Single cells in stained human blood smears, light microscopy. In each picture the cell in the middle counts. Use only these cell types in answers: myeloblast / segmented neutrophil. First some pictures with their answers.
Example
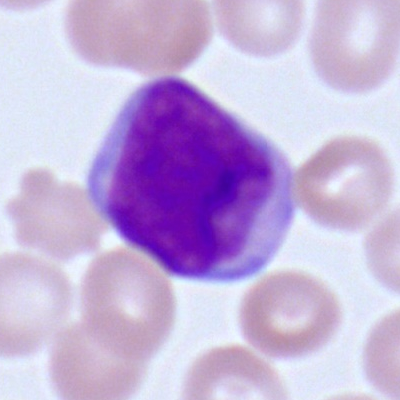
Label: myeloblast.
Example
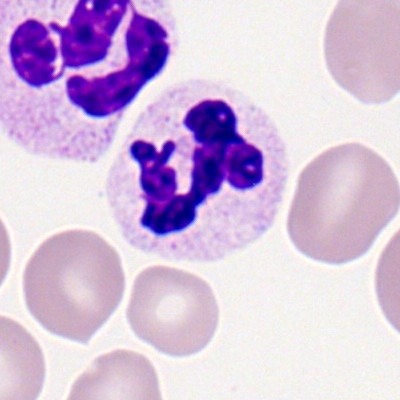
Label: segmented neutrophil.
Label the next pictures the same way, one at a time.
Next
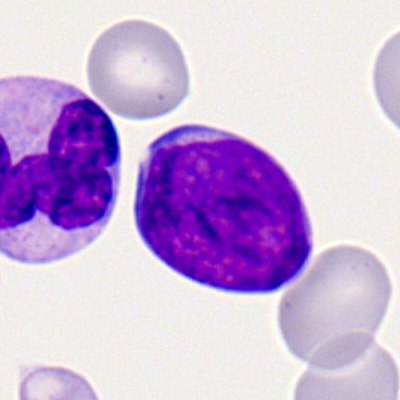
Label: myeloblast.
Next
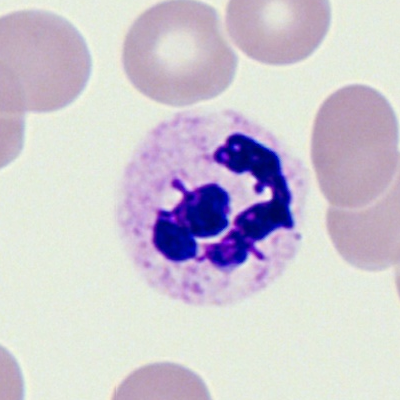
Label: segmented neutrophil.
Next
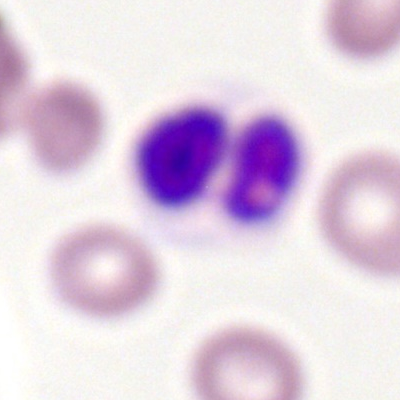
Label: segmented neutrophil.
